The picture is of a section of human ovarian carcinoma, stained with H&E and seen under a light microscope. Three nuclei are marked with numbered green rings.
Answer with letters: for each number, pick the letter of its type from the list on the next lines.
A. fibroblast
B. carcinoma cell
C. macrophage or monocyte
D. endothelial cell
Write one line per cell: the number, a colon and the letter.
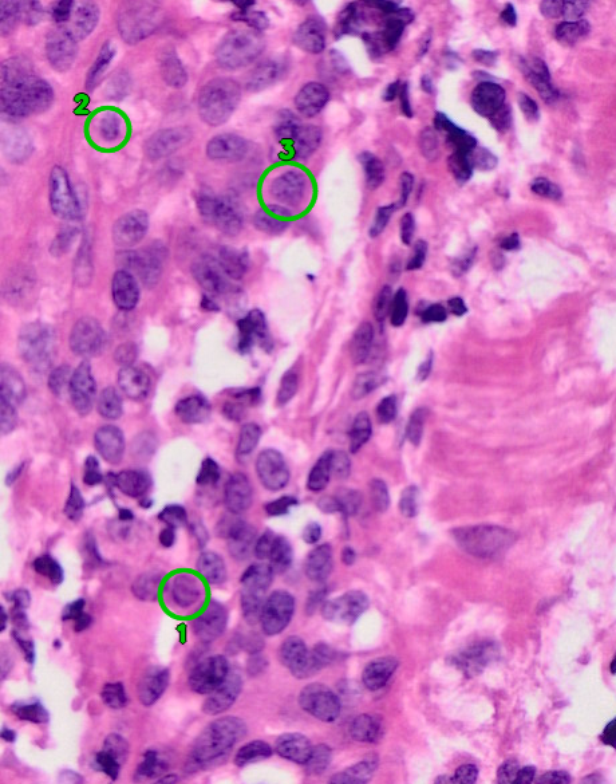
1: B
2: C
3: B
